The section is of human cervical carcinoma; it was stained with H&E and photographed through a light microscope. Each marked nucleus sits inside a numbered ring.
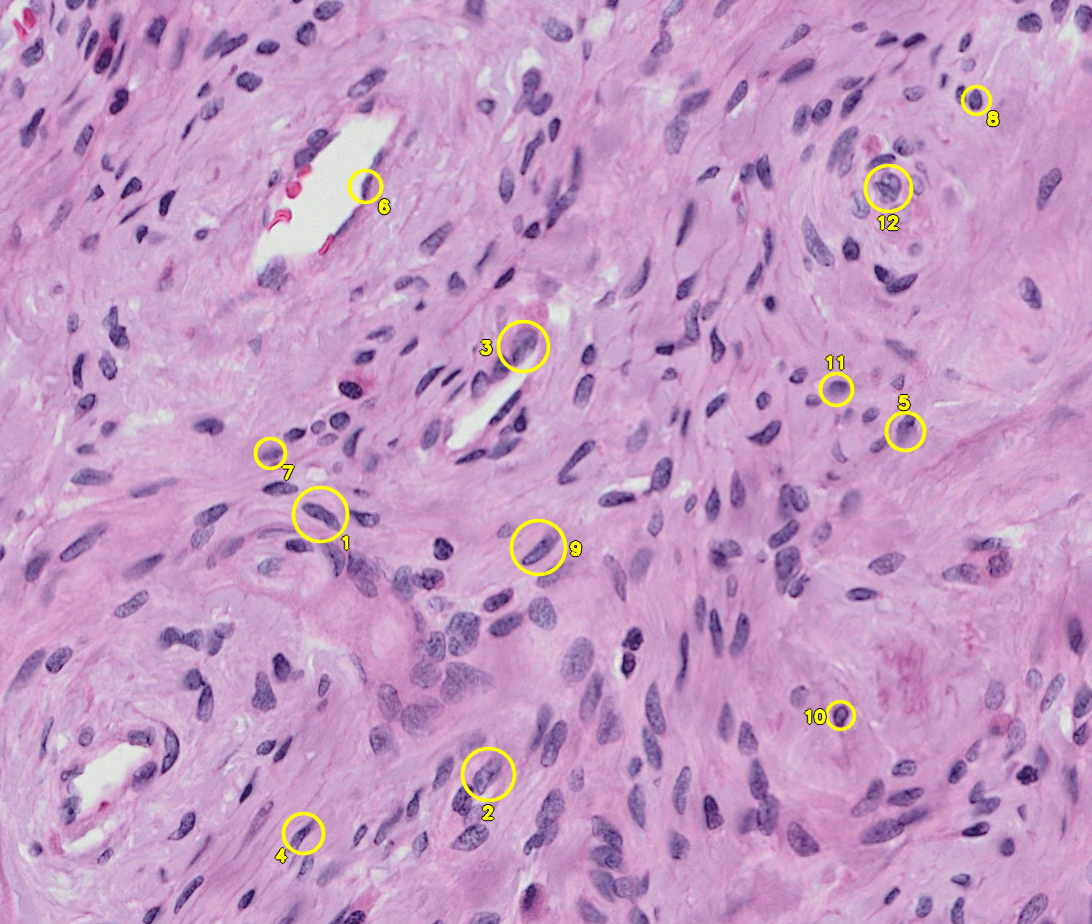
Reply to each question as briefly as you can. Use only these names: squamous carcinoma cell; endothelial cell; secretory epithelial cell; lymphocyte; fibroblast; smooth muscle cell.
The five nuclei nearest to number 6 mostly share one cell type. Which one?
endothelial cell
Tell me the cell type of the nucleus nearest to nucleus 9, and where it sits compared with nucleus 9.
a fibroblast; below and to the right of nucleus 9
